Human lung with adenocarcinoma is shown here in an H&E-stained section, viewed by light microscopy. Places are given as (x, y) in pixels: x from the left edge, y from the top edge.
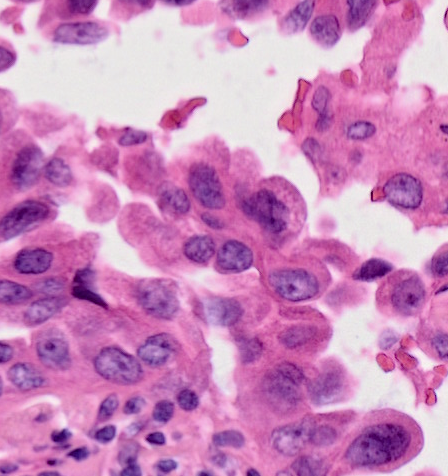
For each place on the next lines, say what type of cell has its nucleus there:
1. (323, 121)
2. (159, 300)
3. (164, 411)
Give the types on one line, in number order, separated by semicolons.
macrophage or monocyte; carcinoma cell; lymphocyte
